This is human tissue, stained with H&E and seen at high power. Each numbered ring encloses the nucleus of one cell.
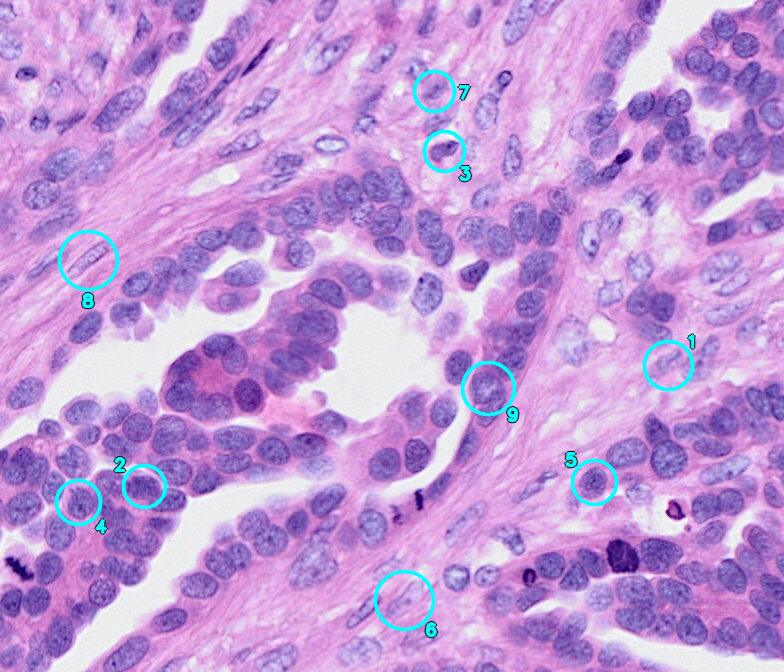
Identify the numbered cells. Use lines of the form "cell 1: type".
cell 1: fibroblast
cell 2: carcinoma cell
cell 3: macrophage or monocyte
cell 4: carcinoma cell
cell 5: carcinoma cell
cell 6: fibroblast
cell 7: fibroblast
cell 8: fibroblast
cell 9: carcinoma cell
